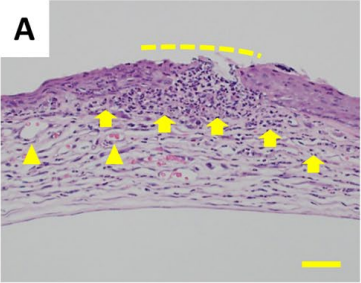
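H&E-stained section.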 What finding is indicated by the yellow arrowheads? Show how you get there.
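Neovascularization. Small round lumina lined by flat cells lie in the stroma near the arrowheads. Some of these channels contain pink red blood cells.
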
